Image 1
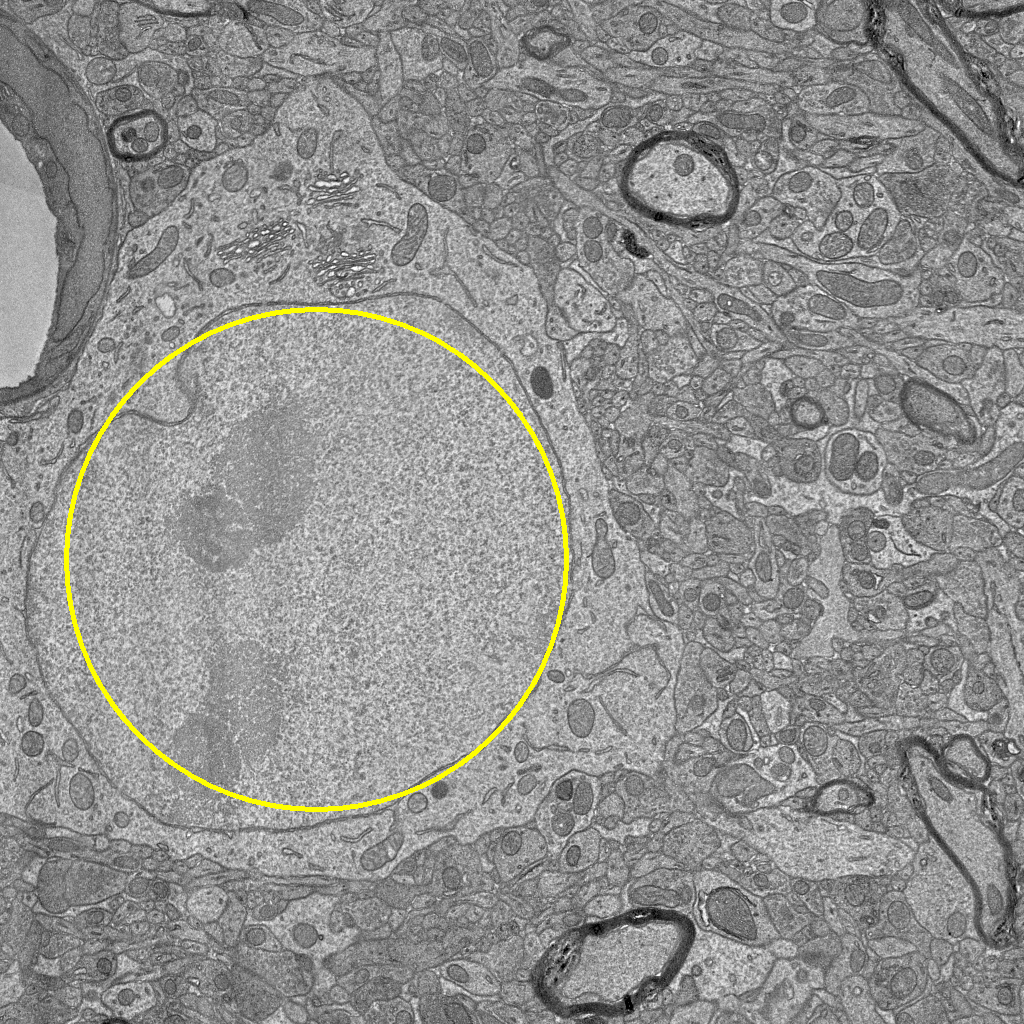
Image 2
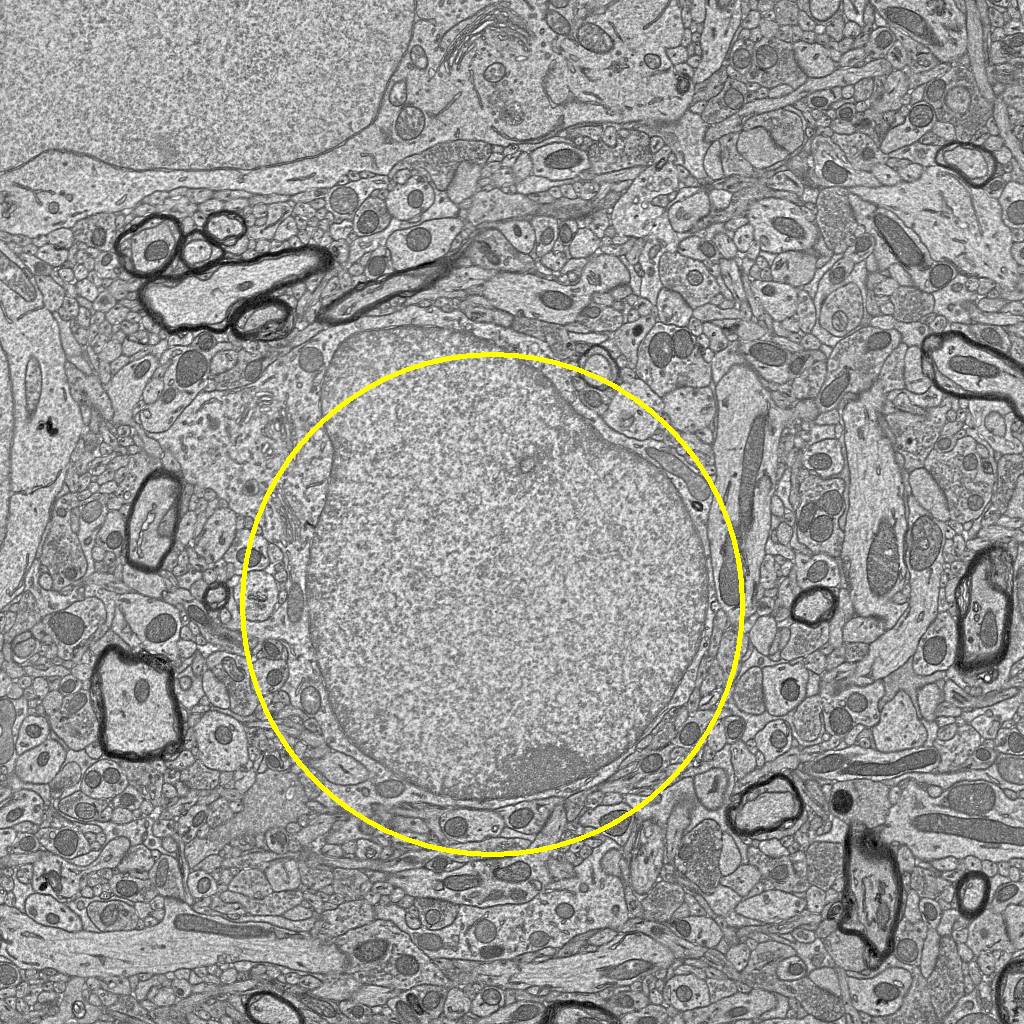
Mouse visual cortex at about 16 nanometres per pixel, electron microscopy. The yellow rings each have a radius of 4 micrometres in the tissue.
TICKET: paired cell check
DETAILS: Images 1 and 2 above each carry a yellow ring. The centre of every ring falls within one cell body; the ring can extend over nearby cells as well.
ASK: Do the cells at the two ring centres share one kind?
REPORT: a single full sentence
No, the cells at the ring centres of Images 1 and 2 belong to two kinds.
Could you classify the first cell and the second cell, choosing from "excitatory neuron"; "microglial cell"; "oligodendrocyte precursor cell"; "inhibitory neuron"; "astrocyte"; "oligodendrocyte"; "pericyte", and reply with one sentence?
The ring in the first picture surrounds an excitatory neuron, and the ring in the second surrounds an astrocyte.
